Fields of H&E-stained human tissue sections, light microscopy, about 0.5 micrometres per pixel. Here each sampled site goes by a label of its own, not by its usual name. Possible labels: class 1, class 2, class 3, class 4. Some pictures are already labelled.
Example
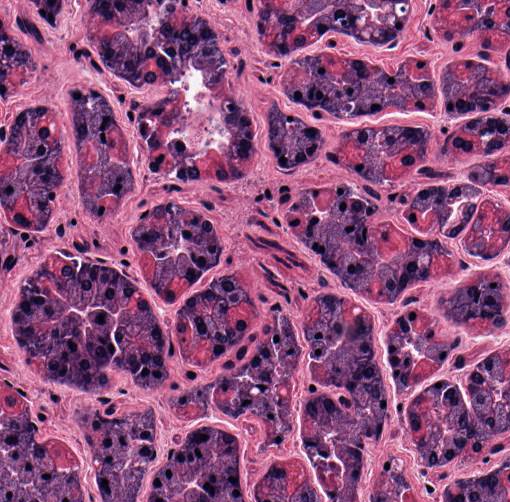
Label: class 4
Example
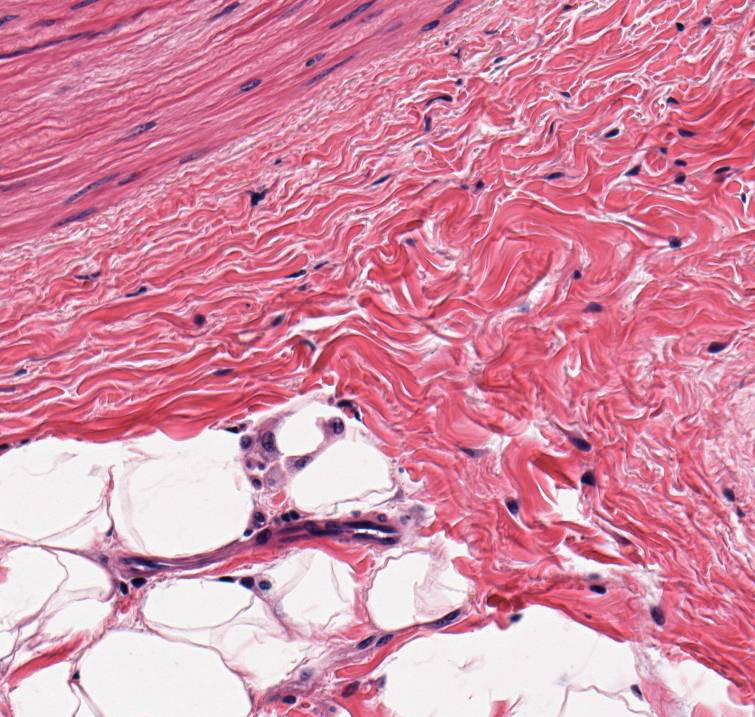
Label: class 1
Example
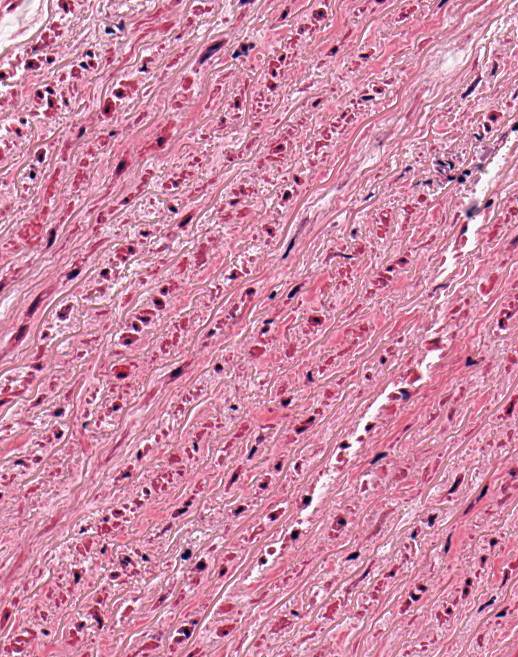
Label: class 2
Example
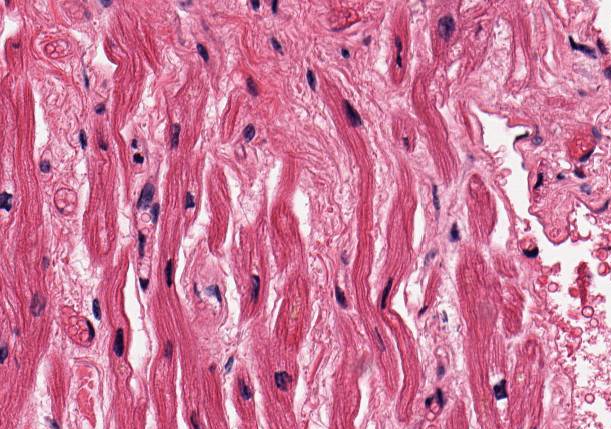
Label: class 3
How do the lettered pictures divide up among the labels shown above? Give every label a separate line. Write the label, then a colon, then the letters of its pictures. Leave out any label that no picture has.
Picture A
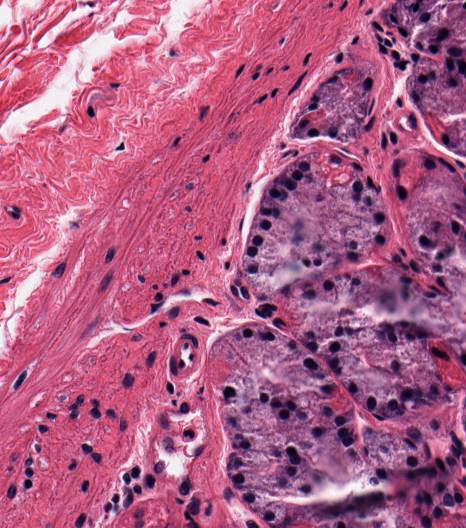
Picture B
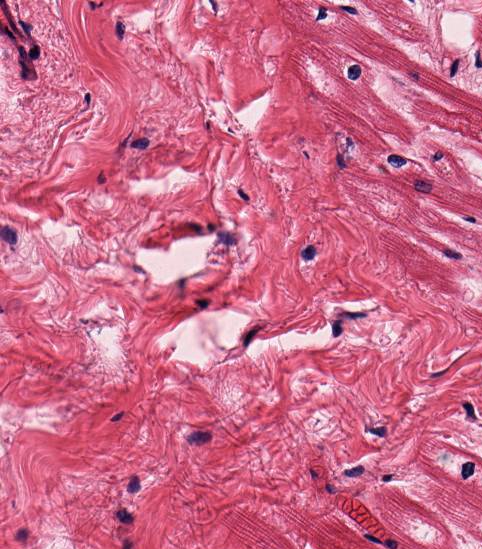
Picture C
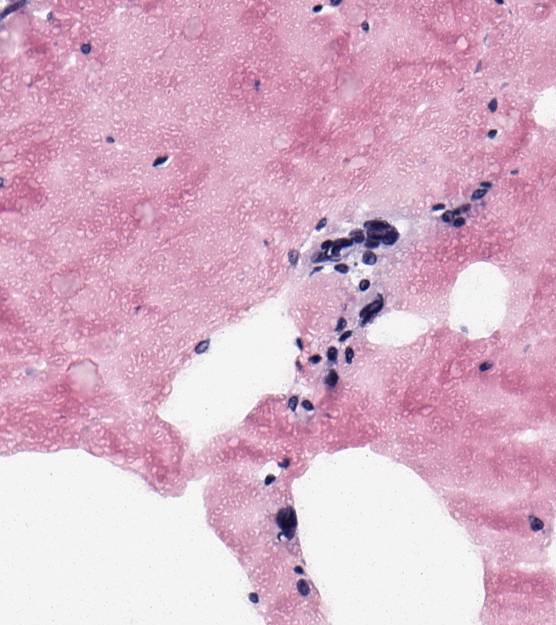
class 3: B
class 4: A, C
